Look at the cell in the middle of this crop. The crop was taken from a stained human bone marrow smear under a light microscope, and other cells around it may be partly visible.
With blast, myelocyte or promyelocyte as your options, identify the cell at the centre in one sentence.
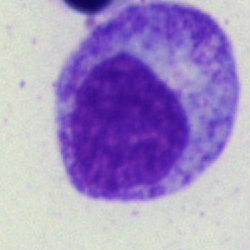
The cell at the central position in this crop is a myelocyte.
